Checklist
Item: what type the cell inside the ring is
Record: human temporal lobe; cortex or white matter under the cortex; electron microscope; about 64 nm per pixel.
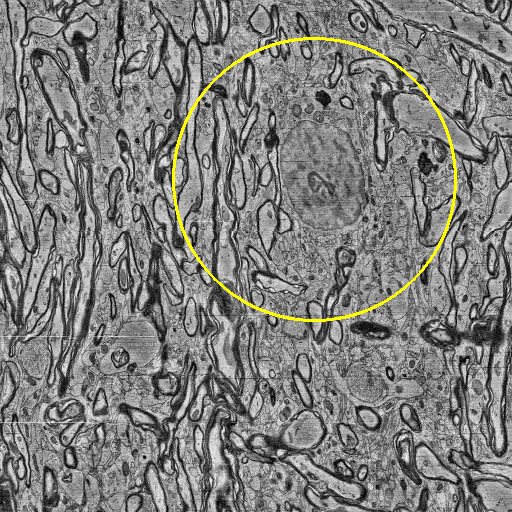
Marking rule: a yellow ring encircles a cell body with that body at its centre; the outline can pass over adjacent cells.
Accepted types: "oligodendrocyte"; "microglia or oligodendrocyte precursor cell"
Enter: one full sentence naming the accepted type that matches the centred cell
The entry is that an oligodendrocyte lies at the centre of the yellow ring.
